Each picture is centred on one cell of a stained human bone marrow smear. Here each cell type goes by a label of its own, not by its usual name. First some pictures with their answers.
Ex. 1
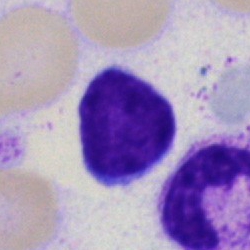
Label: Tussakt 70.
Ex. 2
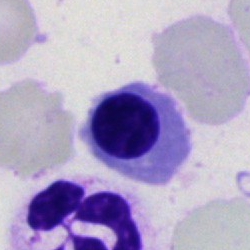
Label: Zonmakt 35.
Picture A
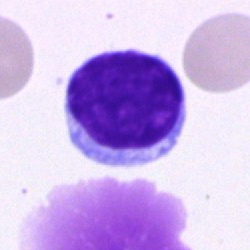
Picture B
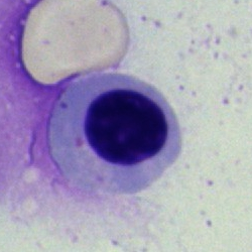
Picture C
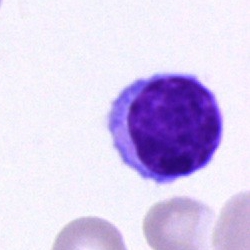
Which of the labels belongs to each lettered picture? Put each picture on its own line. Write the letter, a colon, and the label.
A: Tussakt 70.
B: Zonmakt 35.
C: Tussakt 70.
